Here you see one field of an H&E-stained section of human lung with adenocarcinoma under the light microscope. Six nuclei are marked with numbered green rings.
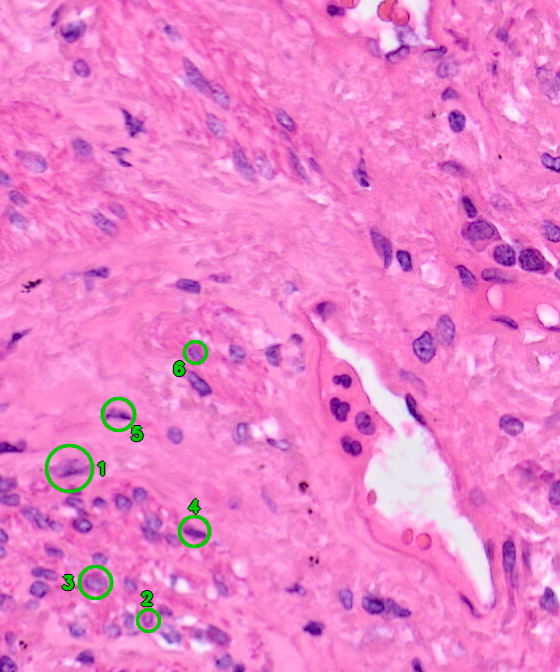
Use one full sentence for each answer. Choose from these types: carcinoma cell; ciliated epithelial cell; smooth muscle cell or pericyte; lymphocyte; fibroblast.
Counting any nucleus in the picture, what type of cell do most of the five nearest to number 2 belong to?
The majority of the five nuclei closest to number 2 belong to smooth muscle cells or pericytes.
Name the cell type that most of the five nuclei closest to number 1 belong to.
Smooth muscle cells or pericytes account for more than half of the five nuclei nearest to number 1.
